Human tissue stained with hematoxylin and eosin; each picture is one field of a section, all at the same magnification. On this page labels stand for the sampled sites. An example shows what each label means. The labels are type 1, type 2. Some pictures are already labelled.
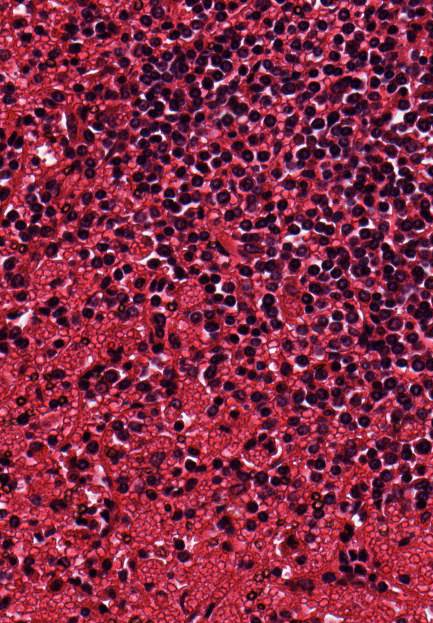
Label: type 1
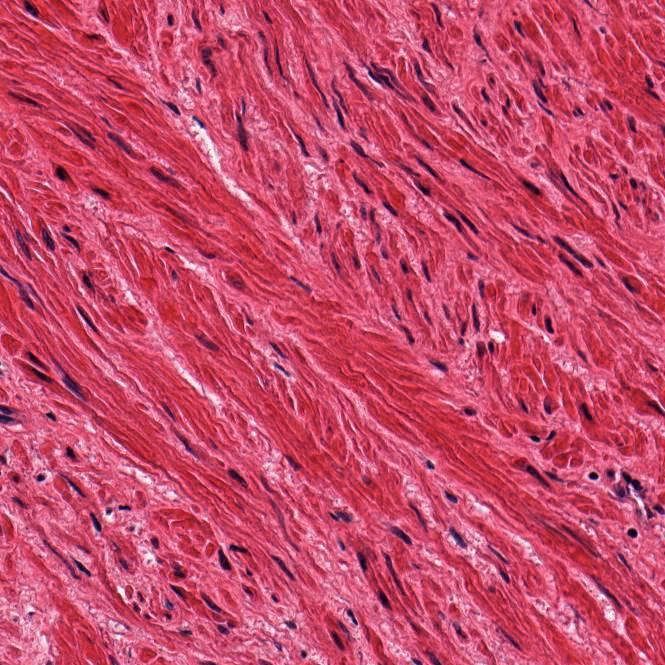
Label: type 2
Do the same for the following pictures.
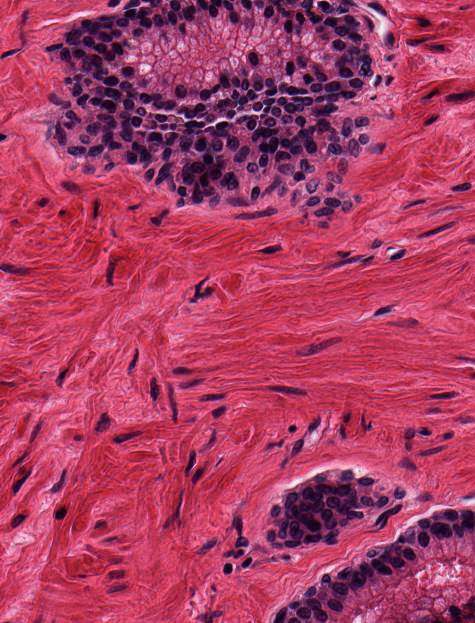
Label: type 2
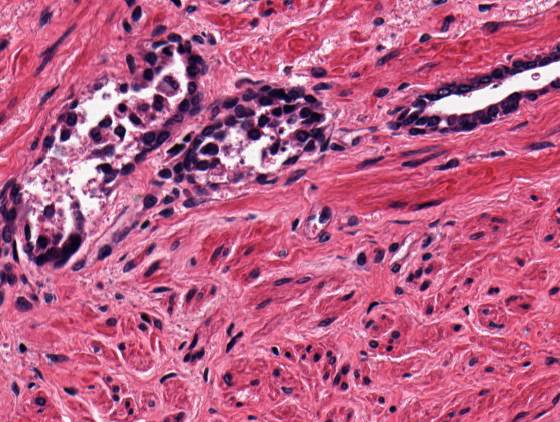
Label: type 2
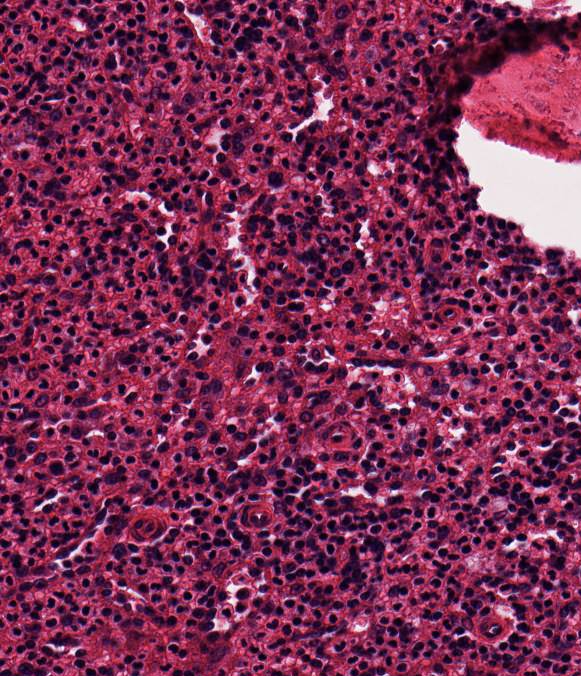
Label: type 1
